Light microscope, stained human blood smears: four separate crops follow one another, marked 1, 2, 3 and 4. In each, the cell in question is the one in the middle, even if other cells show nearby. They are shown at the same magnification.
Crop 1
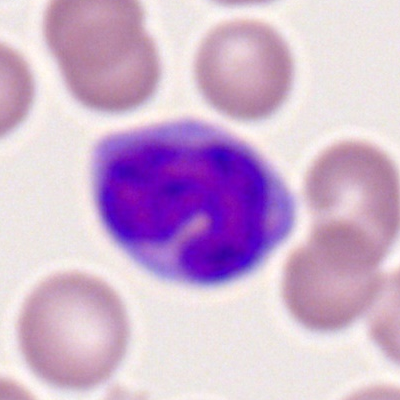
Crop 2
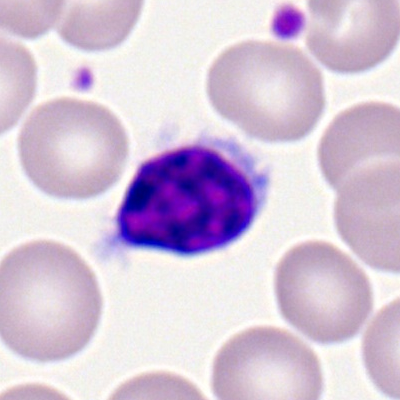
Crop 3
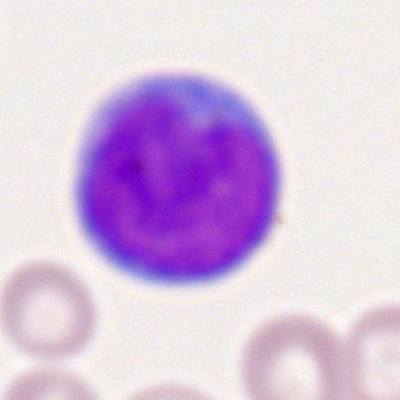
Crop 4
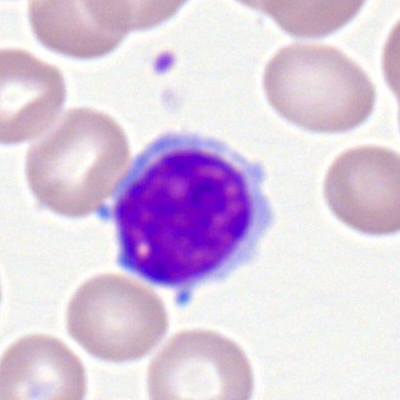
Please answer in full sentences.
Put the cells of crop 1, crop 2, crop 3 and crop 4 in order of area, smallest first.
From the smallest up, the order is 2, 4, 1, 3.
